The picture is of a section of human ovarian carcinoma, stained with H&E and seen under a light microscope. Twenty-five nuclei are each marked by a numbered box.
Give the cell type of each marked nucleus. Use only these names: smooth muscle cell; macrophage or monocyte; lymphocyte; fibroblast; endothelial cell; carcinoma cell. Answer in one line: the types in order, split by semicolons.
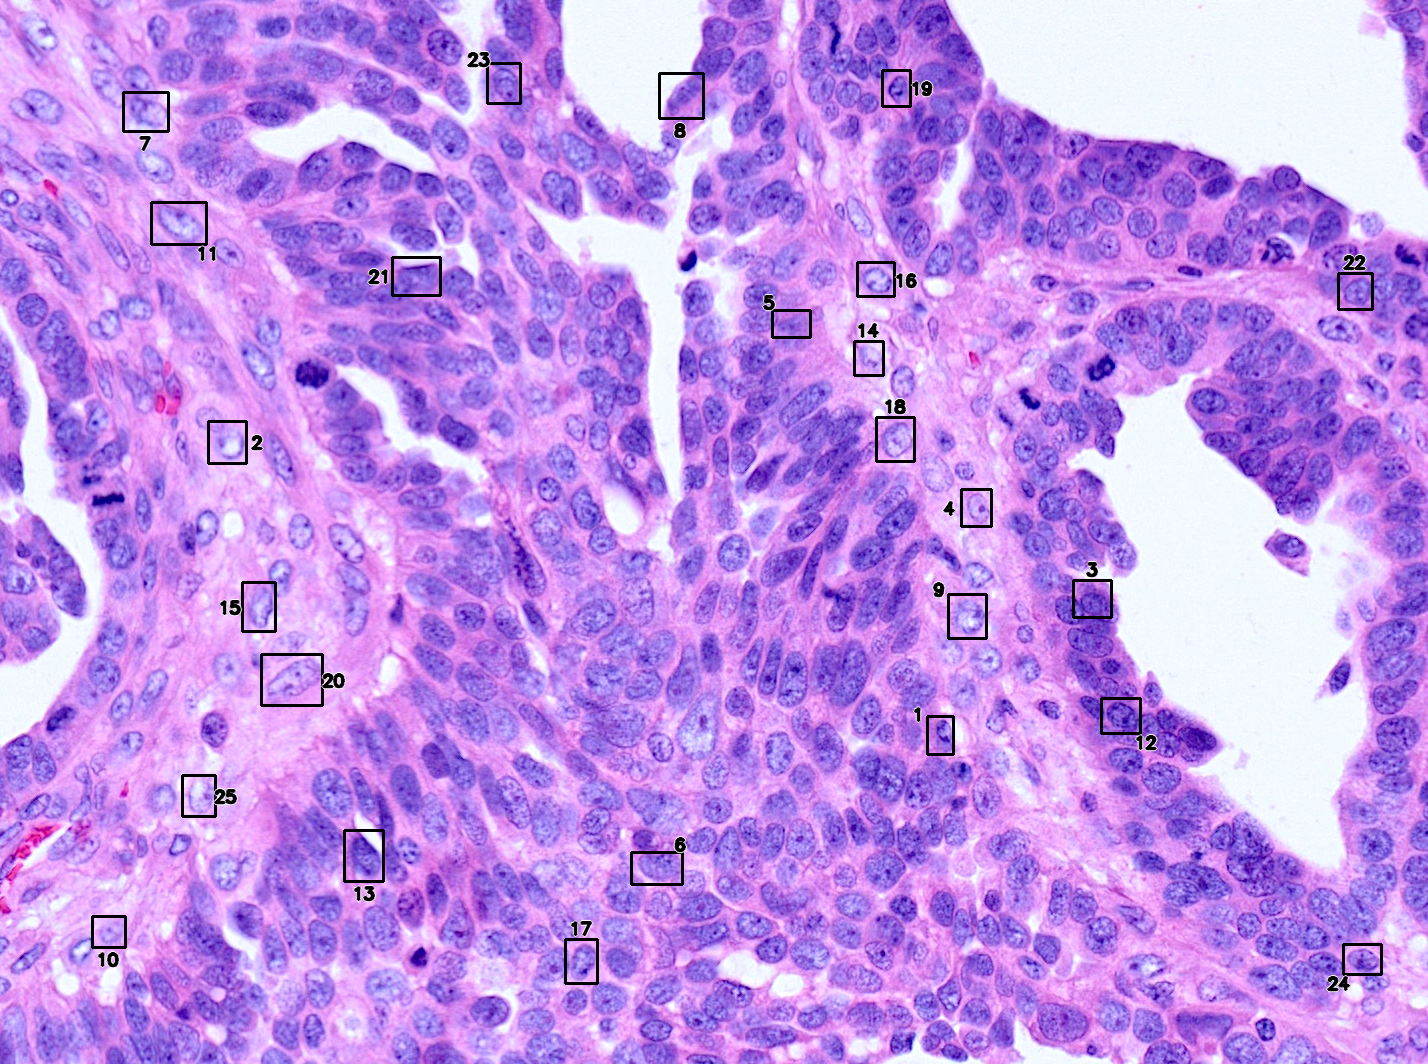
macrophage or monocyte; fibroblast; carcinoma cell; fibroblast; carcinoma cell; carcinoma cell; fibroblast; carcinoma cell; fibroblast; fibroblast; fibroblast; carcinoma cell; carcinoma cell; fibroblast; fibroblast; fibroblast; macrophage or monocyte; fibroblast; macrophage or monocyte; fibroblast; carcinoma cell; carcinoma cell; carcinoma cell; macrophage or monocyte; fibroblast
